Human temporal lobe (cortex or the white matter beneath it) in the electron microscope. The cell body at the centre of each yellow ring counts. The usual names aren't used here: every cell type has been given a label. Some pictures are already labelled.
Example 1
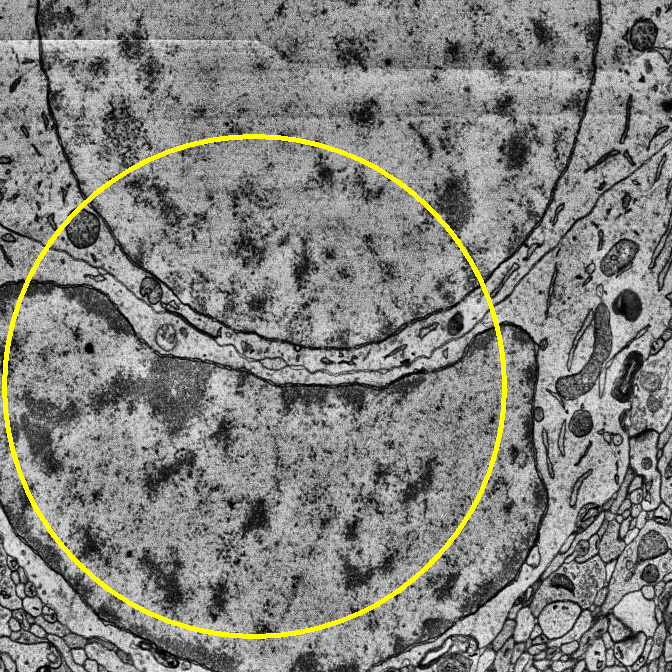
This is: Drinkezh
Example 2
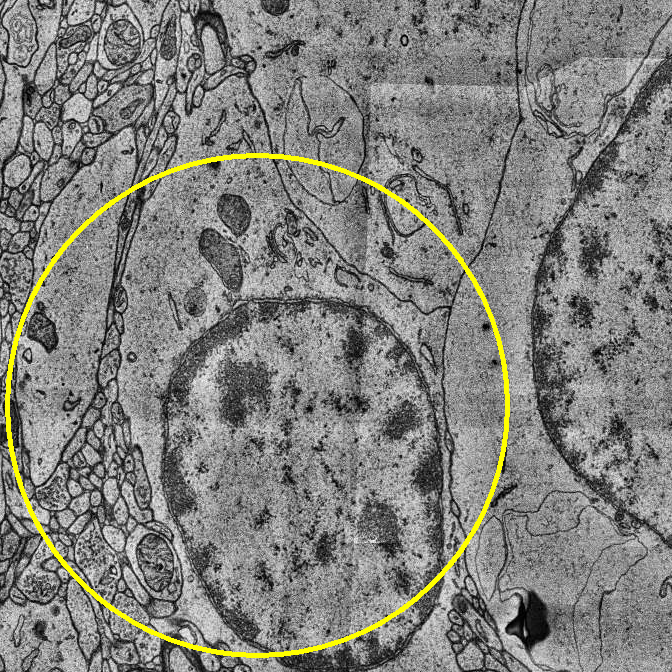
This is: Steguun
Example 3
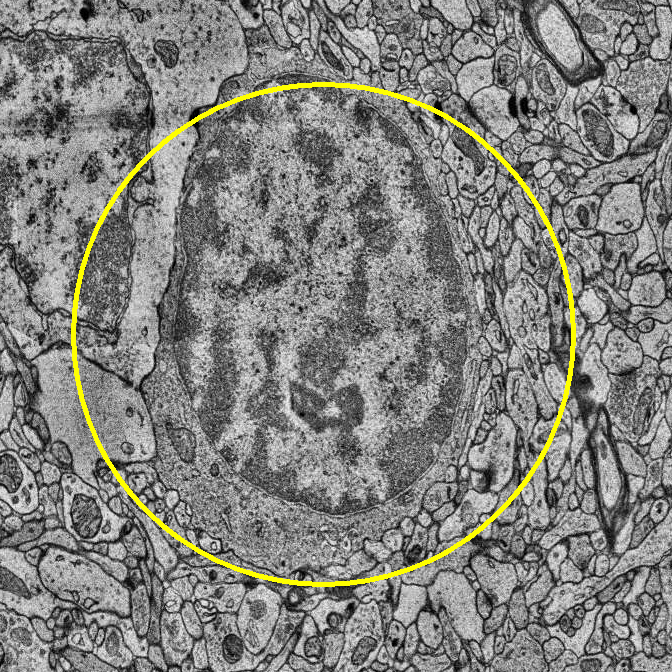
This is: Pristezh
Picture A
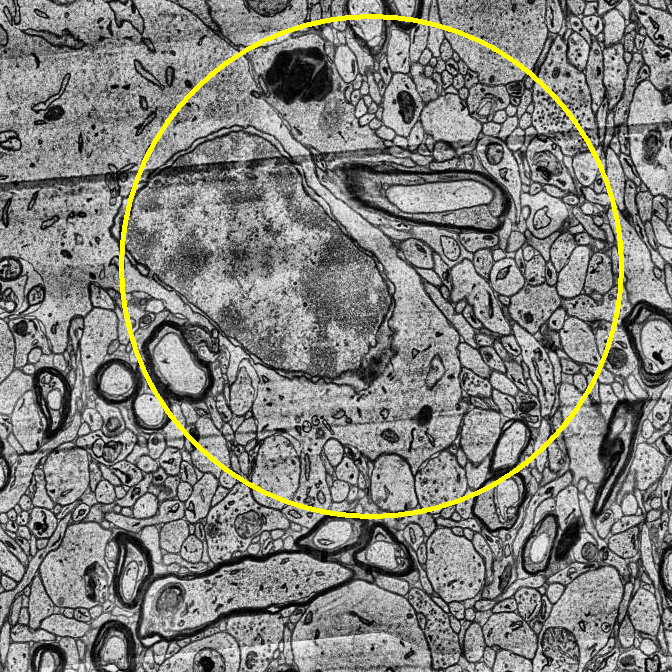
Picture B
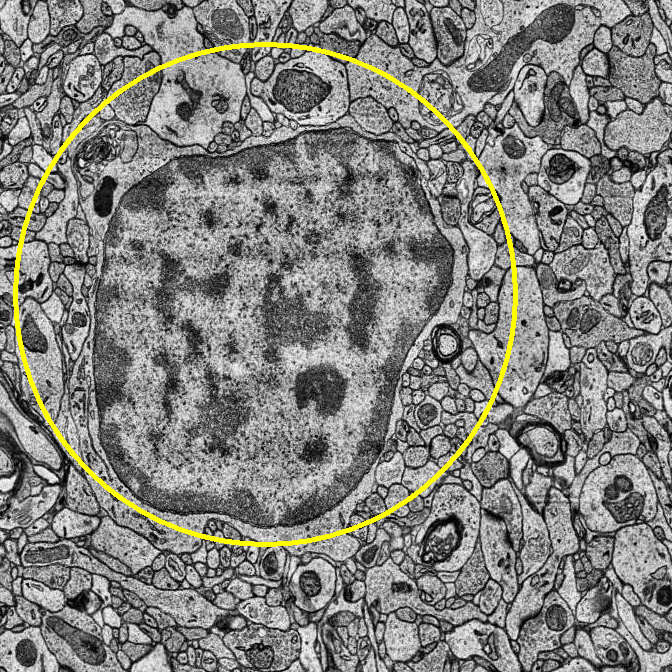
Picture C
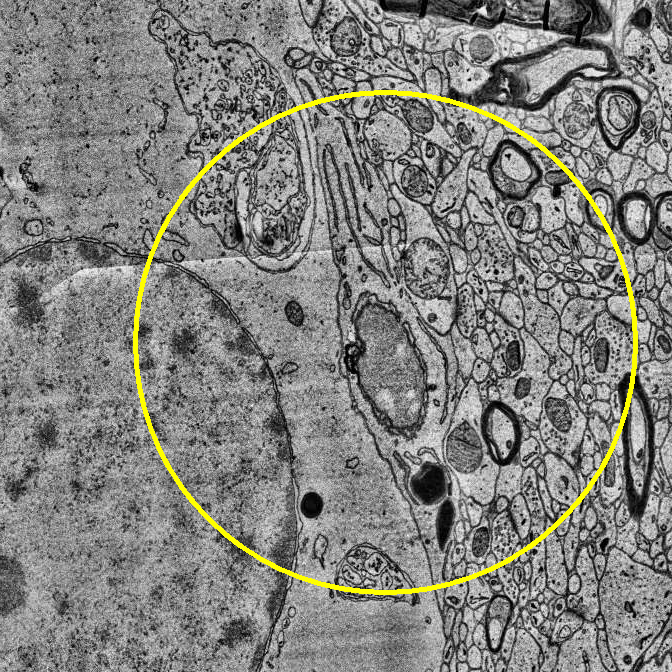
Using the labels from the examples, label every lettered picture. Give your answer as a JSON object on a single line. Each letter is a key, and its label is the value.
{"A": "Drinkezh", "B": "Drinkezh", "C": "Drinkezh"}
